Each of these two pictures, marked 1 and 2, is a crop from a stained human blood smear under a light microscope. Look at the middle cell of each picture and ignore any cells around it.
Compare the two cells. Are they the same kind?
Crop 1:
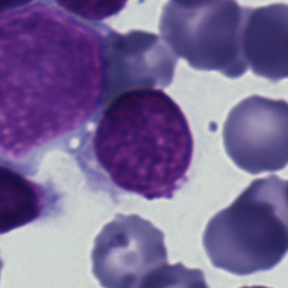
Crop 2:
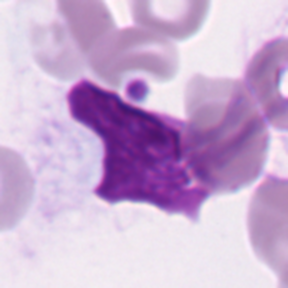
no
